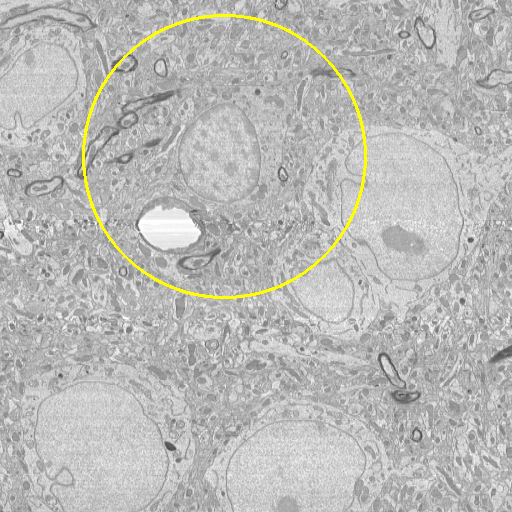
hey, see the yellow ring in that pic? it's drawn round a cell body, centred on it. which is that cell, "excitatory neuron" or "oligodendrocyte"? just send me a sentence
The cell in the ring is an oligodendrocyte.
